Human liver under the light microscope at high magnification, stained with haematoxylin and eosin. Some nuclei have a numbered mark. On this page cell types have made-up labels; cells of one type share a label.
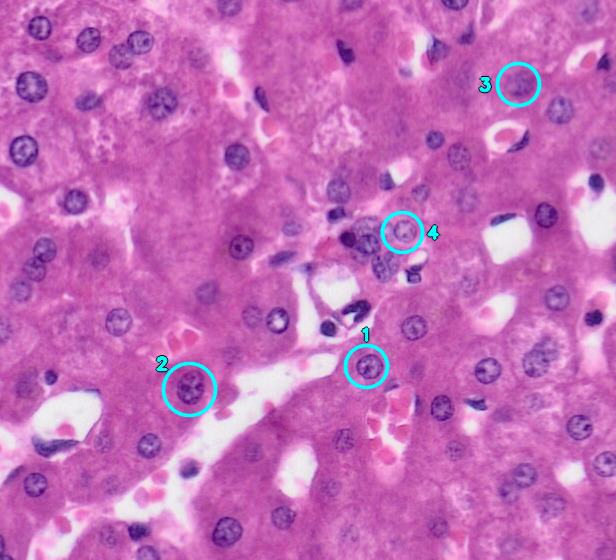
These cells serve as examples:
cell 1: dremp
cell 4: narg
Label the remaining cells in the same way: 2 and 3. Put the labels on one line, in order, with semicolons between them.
dremp; dremp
